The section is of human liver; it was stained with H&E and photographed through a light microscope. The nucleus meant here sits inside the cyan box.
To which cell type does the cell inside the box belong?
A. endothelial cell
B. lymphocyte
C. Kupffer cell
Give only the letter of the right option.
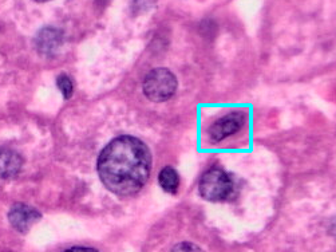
C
